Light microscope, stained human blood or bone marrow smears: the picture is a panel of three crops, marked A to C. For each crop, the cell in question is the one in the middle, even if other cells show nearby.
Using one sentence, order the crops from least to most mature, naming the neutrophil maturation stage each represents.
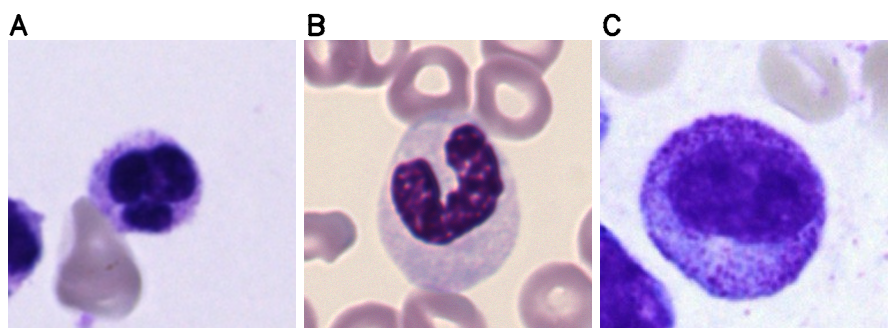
From the earliest stage onward, the order is crop C (a myelocyte), crop B (a band neutrophil) and crop A (a segmented neutrophil).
